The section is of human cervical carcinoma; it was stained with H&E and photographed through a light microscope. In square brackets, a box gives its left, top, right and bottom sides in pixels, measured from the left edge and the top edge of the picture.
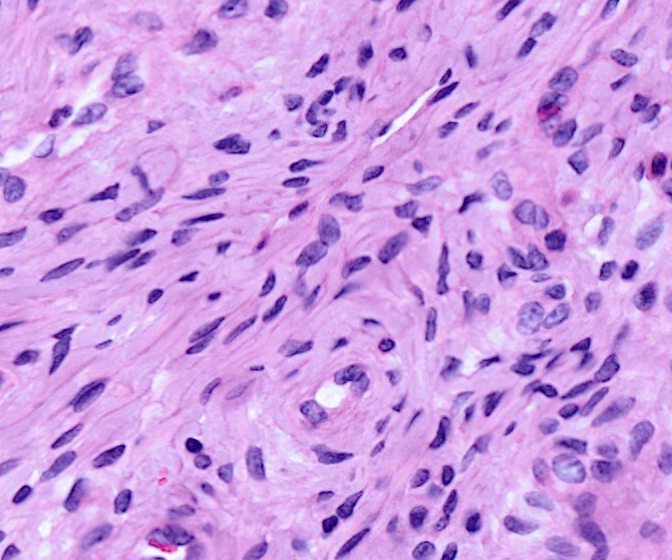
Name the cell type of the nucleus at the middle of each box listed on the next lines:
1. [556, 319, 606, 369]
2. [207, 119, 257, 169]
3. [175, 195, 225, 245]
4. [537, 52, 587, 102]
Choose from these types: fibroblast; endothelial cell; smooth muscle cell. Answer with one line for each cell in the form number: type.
1: fibroblast
2: fibroblast
3: fibroblast
4: endothelial cell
